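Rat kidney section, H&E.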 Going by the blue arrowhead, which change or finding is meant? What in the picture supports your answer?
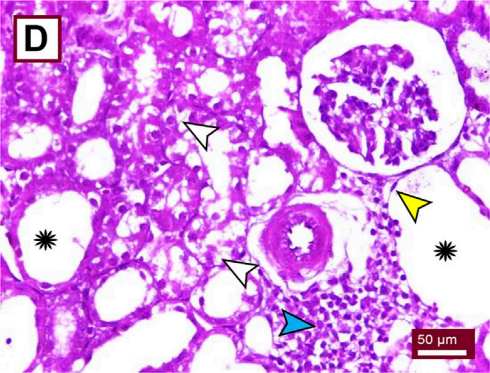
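A tight cluster of many small, round, dark-purple nuclei lies between the tubules. The cluster sits next to a thick-walled vessel. So: dense inflammatory cell infiltration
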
